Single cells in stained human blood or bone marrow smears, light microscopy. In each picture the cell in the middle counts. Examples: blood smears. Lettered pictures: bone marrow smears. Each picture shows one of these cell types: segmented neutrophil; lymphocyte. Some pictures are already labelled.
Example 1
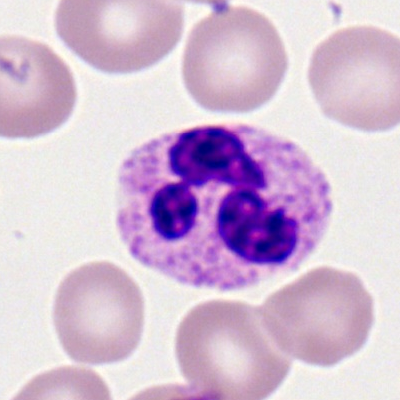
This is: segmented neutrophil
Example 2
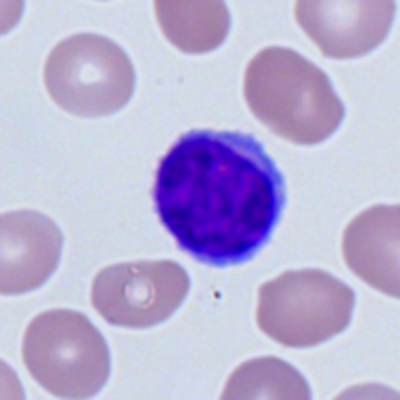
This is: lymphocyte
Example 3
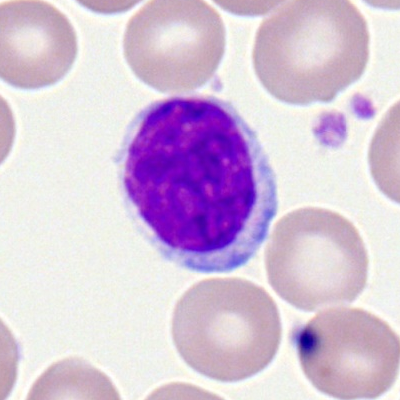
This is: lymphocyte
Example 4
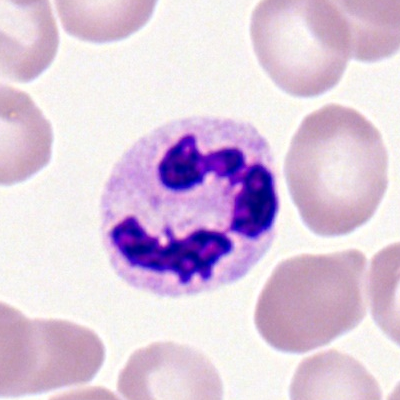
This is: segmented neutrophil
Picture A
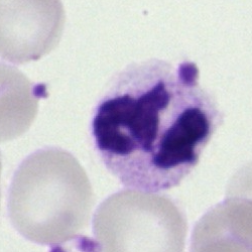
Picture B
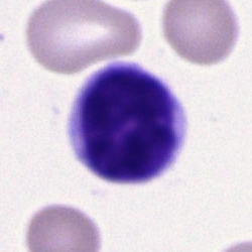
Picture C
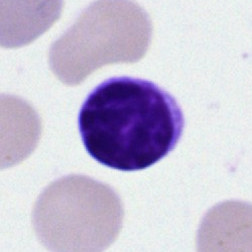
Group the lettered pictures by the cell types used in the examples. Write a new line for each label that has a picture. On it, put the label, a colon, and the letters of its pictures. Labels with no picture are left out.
segmented neutrophil: A
lymphocyte: B, C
